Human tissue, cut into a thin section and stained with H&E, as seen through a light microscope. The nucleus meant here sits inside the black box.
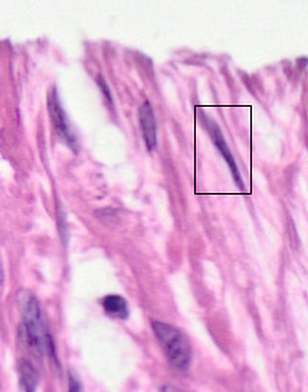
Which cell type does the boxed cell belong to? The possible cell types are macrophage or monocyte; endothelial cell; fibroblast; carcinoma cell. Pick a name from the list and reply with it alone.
fibroblast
